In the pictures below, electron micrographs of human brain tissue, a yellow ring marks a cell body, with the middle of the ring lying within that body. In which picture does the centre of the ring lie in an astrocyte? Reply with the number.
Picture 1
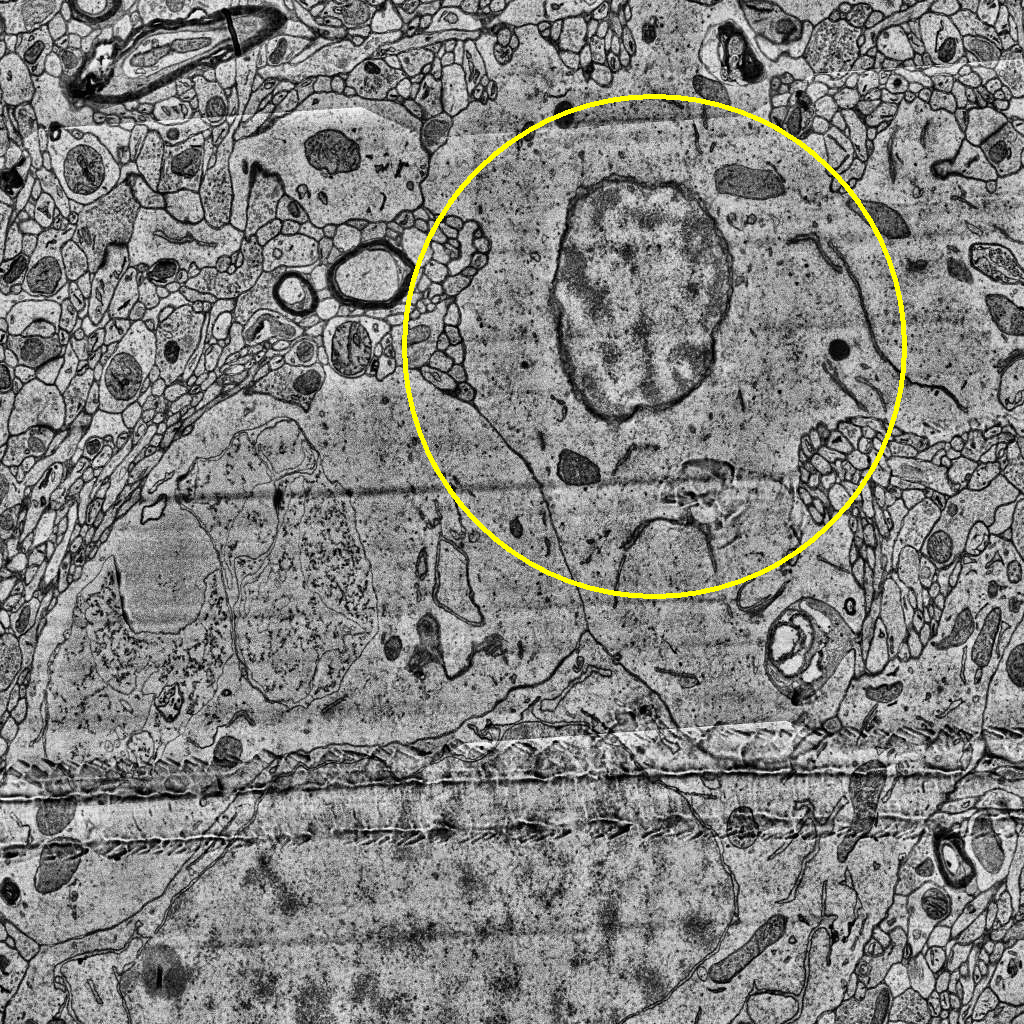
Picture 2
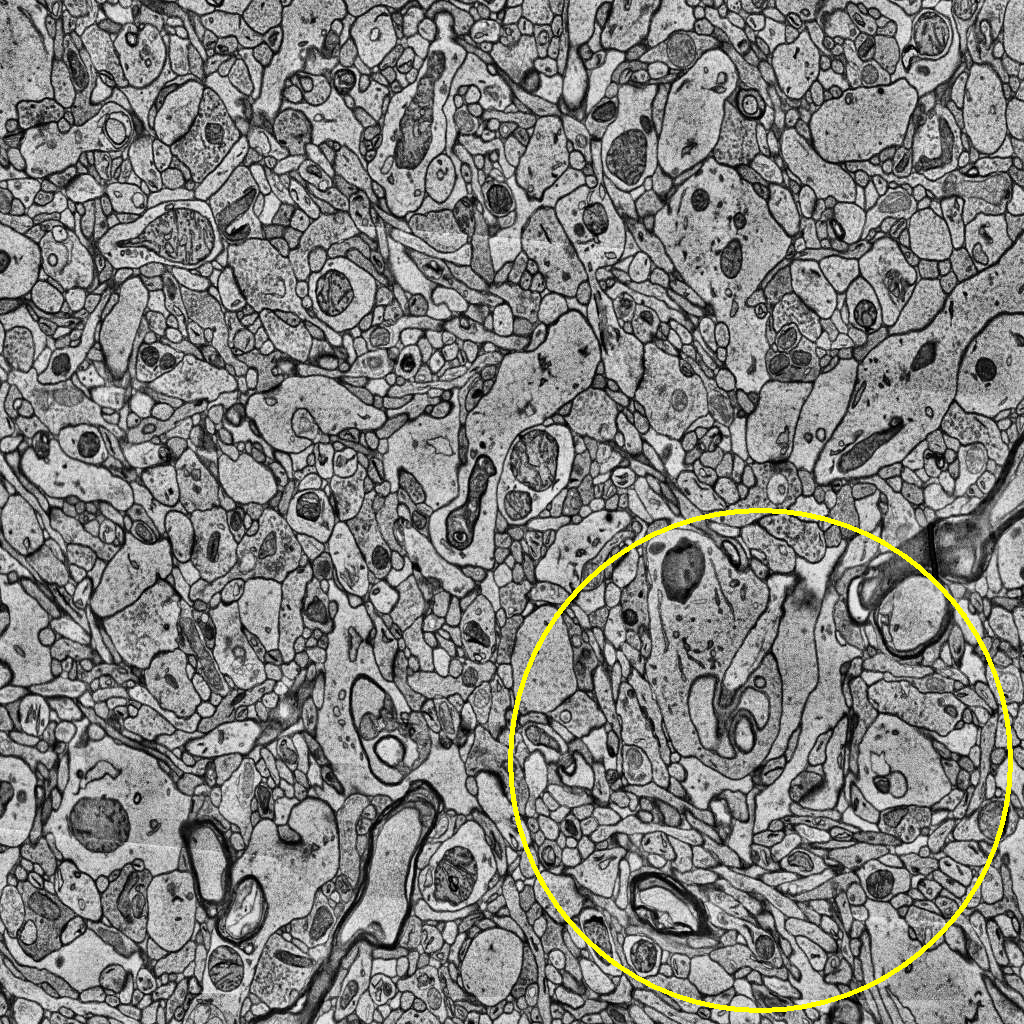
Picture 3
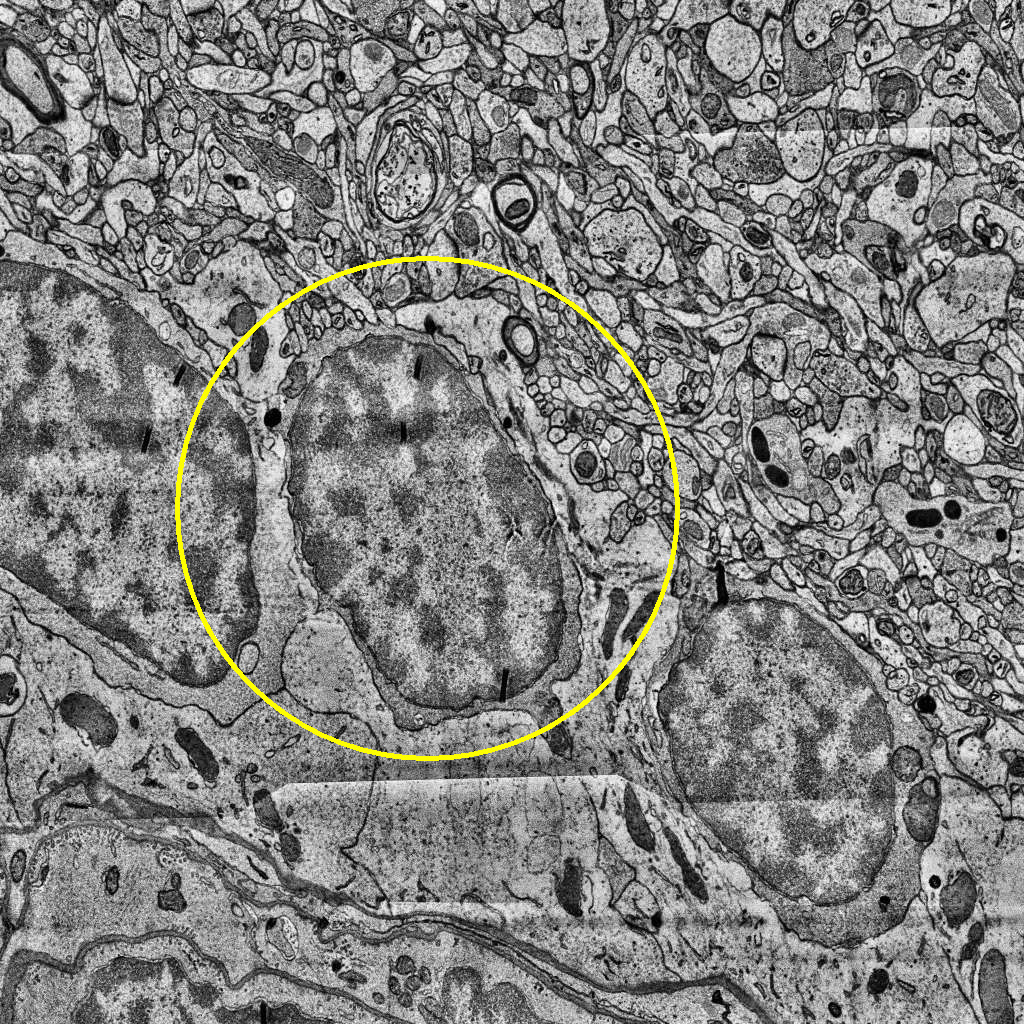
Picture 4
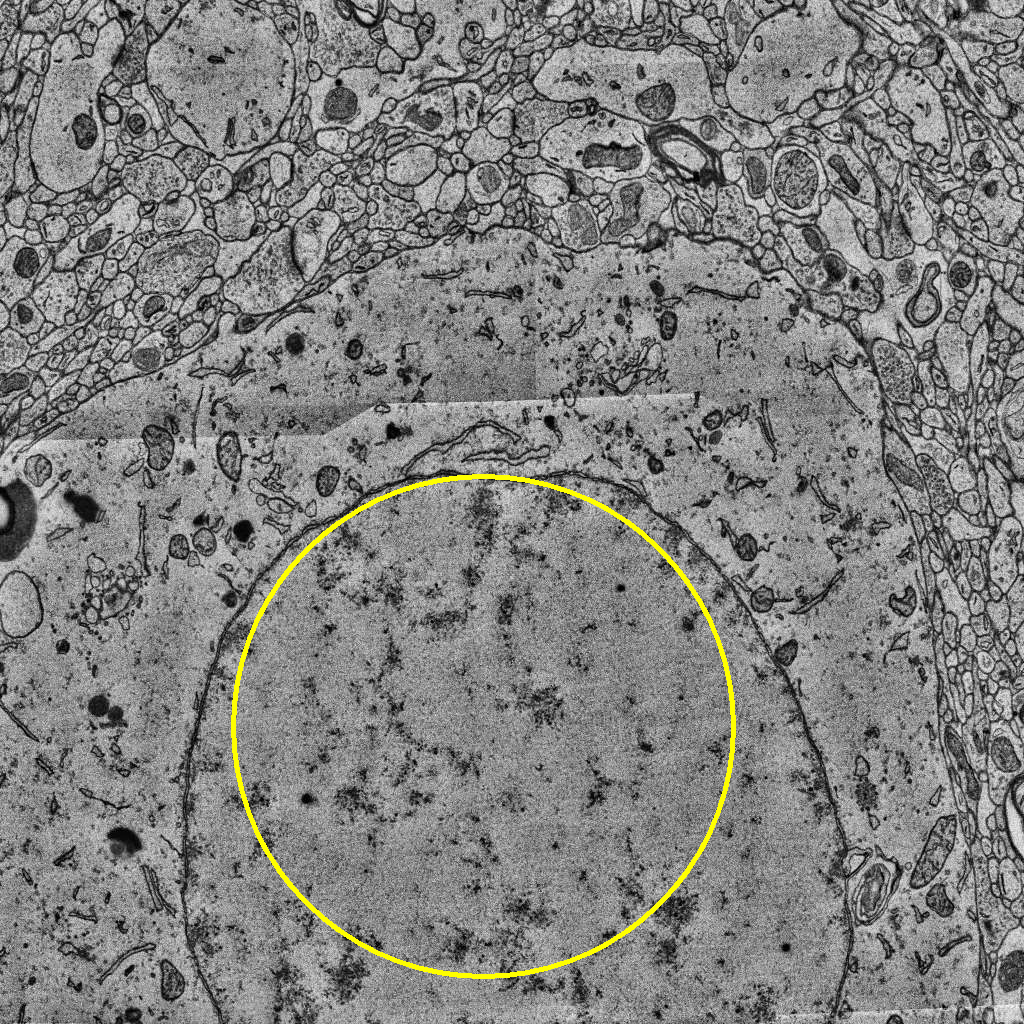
1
